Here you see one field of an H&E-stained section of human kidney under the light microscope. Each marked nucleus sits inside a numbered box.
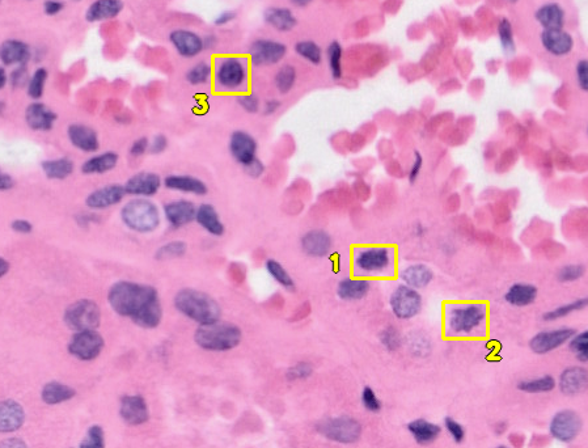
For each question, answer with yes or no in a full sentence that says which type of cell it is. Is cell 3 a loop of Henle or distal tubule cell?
No, it is a collecting duct cell that is marked with number 3, not a loop of Henle or distal tubule cell.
